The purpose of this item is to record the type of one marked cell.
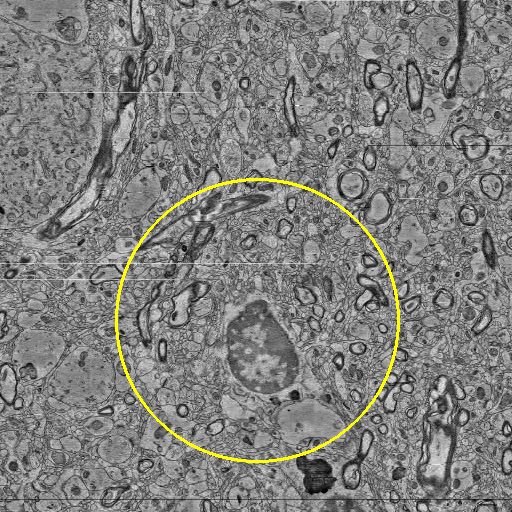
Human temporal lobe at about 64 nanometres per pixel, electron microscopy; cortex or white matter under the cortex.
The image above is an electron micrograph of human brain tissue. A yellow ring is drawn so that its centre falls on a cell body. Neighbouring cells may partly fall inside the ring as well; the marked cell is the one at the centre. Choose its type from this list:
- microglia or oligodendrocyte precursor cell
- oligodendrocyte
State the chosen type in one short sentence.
What the ring marks here is a microglial cell or oligodendrocyte precursor cell.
